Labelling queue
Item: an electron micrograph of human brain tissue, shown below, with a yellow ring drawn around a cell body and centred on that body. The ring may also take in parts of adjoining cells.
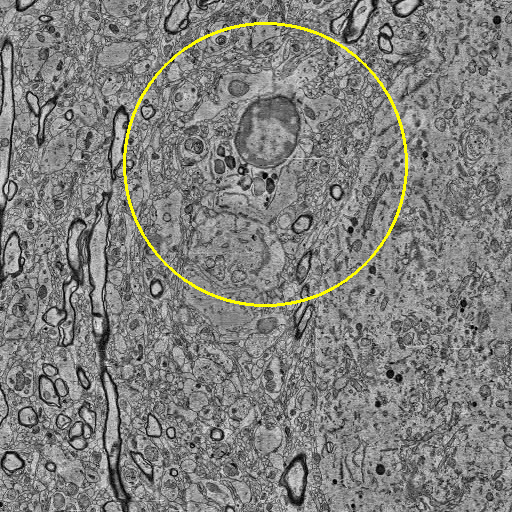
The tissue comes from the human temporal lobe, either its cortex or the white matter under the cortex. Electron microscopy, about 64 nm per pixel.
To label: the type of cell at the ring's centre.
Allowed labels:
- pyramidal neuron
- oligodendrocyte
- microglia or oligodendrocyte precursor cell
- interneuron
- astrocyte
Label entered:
microglia or oligodendrocyte precursor cell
